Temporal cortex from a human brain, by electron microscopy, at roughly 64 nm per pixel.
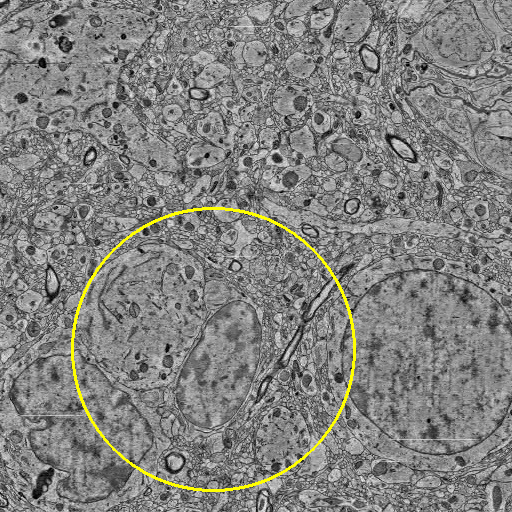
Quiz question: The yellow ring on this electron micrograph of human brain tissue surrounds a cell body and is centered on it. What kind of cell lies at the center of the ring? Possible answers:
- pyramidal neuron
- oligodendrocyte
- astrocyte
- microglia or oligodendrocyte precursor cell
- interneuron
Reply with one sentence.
The ring's center lies on a microglial cell or oligodendrocyte precursor cell.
